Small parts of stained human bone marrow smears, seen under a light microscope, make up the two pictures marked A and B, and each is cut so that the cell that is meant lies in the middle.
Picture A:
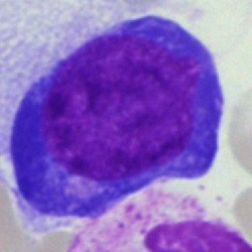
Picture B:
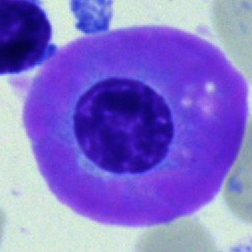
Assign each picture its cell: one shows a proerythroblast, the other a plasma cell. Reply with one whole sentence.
The cell in picture A is a proerythroblast, and the one in picture B is a plasma cell.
